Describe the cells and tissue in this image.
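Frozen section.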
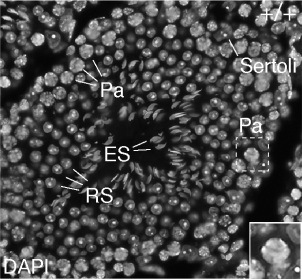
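Cross-section of a seminiferous tubule with germ cells in concentric layers, nuclei shown in grey. Near the base lie large round nuclei with coarse, thread-like chromatin. Inward from them are many smaller round nuclei packed densely, each with a bright central spot. The lumen at the centre is crowded with slender, condensed, elongated nuclei pointing inward. The inset shows one large nucleus with patchy, thread-like chromatin.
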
